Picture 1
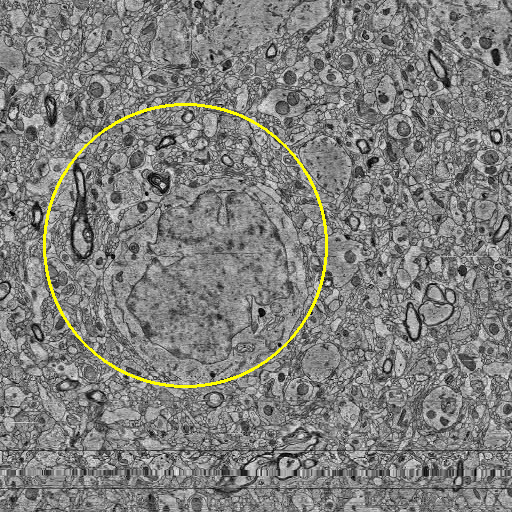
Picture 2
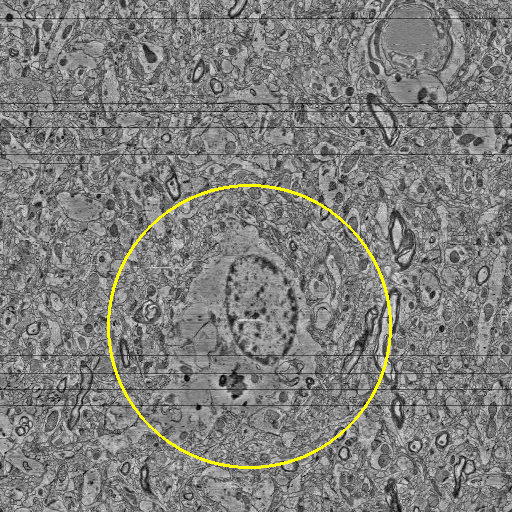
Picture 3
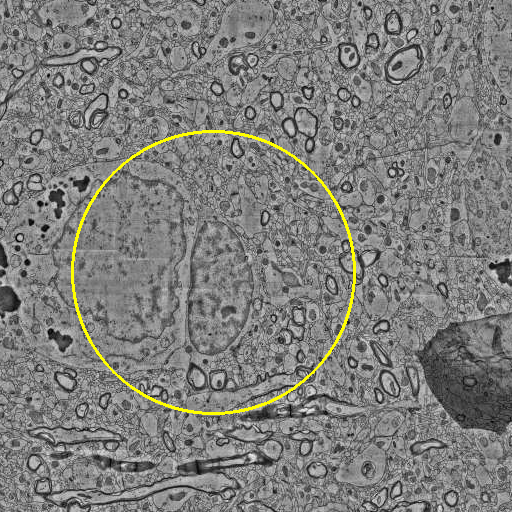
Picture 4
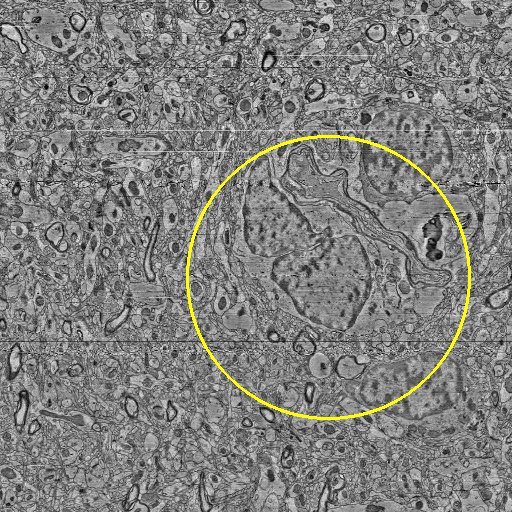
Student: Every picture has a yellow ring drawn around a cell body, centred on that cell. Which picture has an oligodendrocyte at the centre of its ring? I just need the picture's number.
3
